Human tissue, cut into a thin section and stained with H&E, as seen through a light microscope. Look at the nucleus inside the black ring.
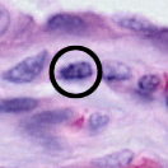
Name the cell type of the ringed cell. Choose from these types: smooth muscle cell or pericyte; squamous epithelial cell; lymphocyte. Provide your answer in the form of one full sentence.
Placed in its cell category, the ringed cell is a lymphocyte.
